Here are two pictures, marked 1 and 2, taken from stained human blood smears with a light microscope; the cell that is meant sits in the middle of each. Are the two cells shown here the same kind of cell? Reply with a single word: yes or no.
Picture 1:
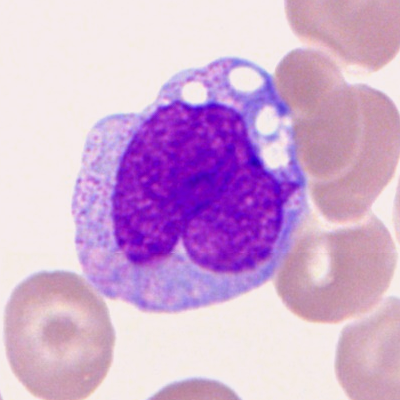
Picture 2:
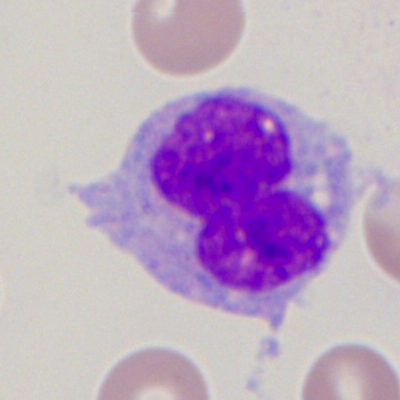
yes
